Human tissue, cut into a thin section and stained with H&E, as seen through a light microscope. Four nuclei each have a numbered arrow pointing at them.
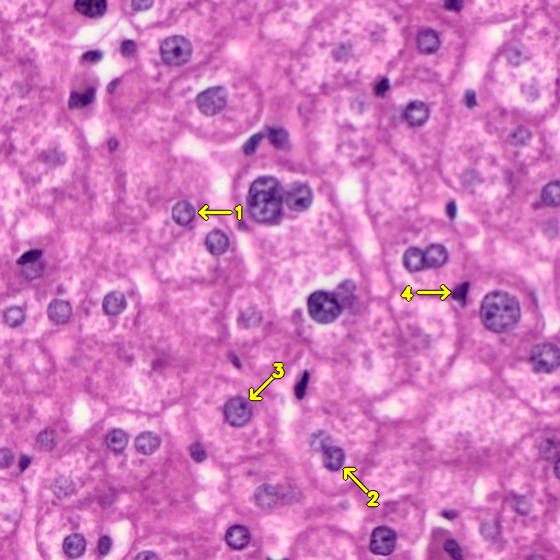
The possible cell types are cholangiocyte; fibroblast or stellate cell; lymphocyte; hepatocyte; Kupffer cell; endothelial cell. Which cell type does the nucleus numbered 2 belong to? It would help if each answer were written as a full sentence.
Looking at the numbered marks, cell 2 is a hepatocyte.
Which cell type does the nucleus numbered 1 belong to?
Among the marked cells, number 1 is a hepatocyte.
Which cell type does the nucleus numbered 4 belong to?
In this section, the cell numbered 4 is a fibroblast or stellate cell.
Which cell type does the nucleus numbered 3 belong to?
The cell identified by number 3 is a hepatocyte.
